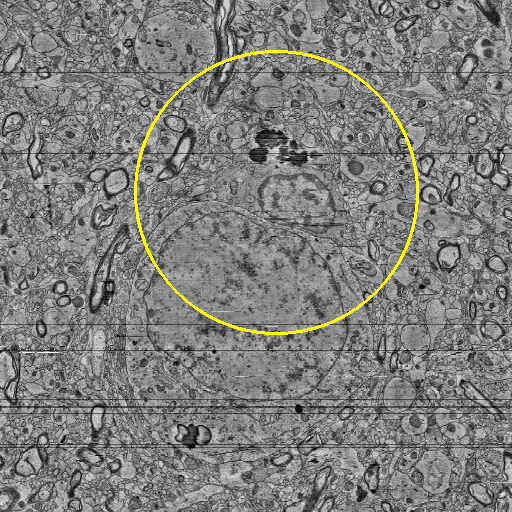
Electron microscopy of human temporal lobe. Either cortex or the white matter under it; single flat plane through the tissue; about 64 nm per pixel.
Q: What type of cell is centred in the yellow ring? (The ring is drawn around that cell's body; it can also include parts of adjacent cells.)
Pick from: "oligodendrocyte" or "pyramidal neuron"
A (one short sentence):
The yellow ring is centred on an oligodendrocyte.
